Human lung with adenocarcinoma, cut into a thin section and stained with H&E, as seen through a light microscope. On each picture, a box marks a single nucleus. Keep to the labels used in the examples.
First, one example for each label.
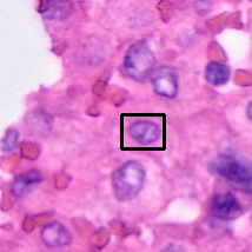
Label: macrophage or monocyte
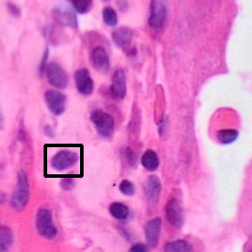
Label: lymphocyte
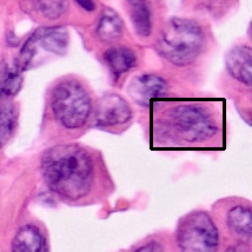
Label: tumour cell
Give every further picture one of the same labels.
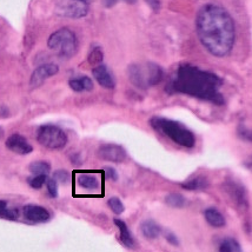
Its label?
lymphocyte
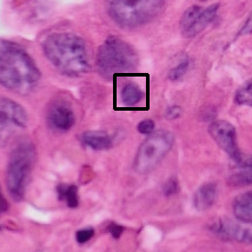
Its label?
lymphocyte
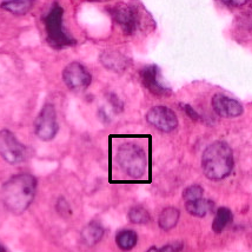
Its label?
macrophage or monocyte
